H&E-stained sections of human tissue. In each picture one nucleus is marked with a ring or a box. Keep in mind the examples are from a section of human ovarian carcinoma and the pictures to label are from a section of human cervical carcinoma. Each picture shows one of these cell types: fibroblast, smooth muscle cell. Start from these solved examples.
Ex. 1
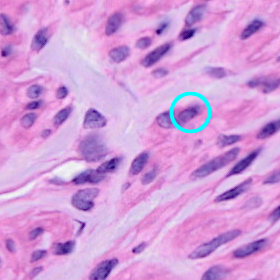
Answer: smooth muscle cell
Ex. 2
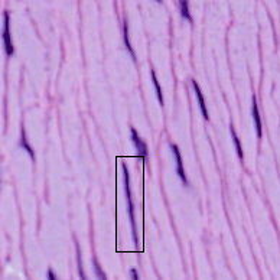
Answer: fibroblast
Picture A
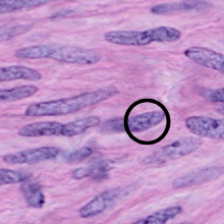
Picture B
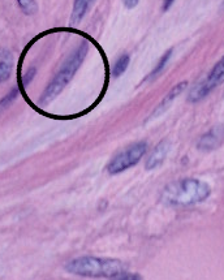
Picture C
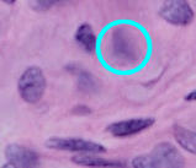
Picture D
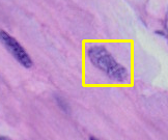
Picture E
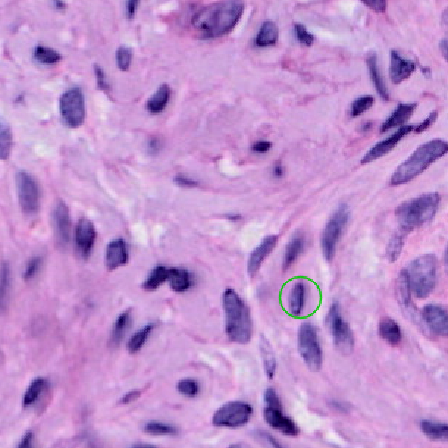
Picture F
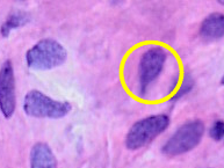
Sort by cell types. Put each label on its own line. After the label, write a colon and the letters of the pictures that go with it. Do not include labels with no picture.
fibroblast: C, D, E, F
smooth muscle cell: A, B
